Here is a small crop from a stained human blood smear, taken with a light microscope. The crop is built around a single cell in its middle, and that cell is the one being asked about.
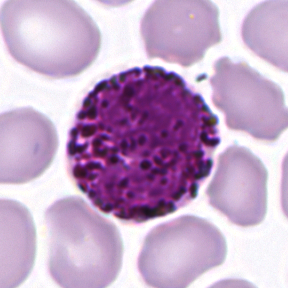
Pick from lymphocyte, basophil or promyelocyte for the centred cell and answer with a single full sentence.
At the middle of the frame sits a basophil.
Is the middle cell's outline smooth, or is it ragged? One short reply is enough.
You can see a smooth boundary, with no projections sticking out.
